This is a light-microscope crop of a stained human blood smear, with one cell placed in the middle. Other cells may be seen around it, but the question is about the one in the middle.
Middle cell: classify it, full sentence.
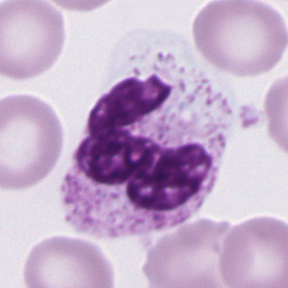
What sits at the centre of this crop is a neutrophil.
